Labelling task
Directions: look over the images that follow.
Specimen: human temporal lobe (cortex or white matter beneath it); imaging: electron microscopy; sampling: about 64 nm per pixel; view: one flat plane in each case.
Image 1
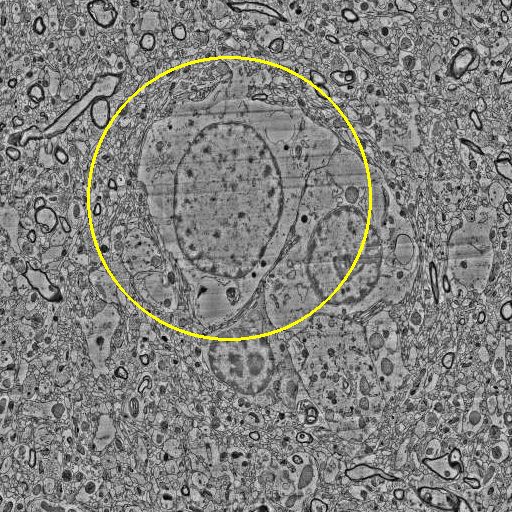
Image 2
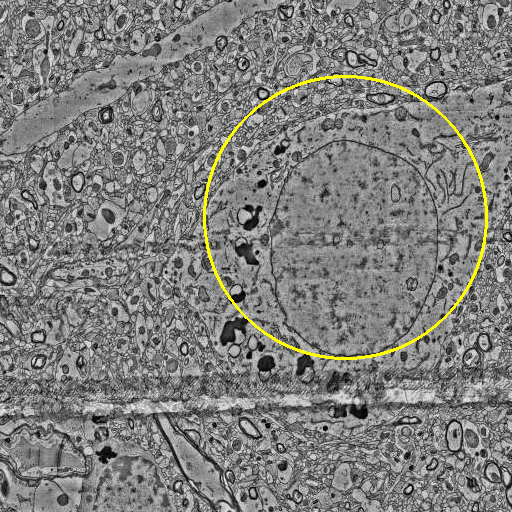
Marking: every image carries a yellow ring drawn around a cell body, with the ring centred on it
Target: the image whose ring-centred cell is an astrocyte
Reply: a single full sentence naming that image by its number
The requested cell sits at the ring's centre in Image 1.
